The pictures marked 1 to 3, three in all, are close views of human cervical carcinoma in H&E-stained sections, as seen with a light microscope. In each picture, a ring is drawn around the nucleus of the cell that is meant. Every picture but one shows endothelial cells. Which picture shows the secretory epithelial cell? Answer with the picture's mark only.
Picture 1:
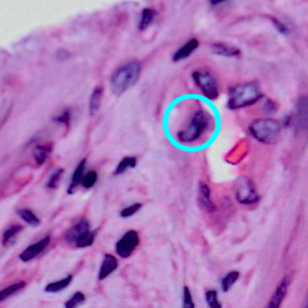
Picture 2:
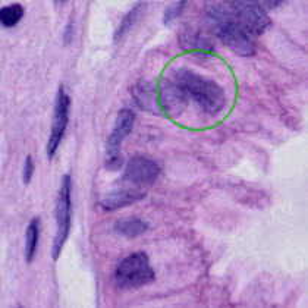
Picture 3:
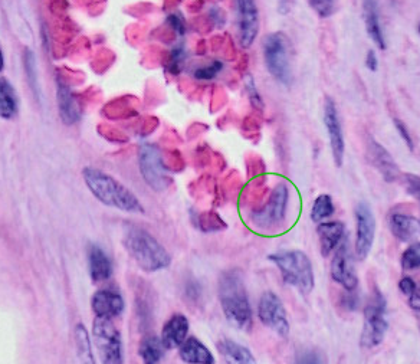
2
